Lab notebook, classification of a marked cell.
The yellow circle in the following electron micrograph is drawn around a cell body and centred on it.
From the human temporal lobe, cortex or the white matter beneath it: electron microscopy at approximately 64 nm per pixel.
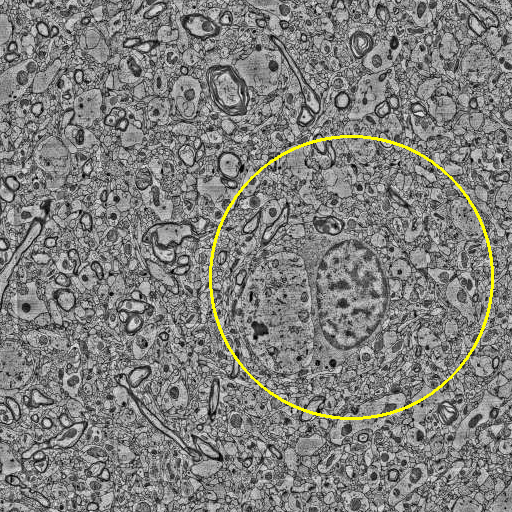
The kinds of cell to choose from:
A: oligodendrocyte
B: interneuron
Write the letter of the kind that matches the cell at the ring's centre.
A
